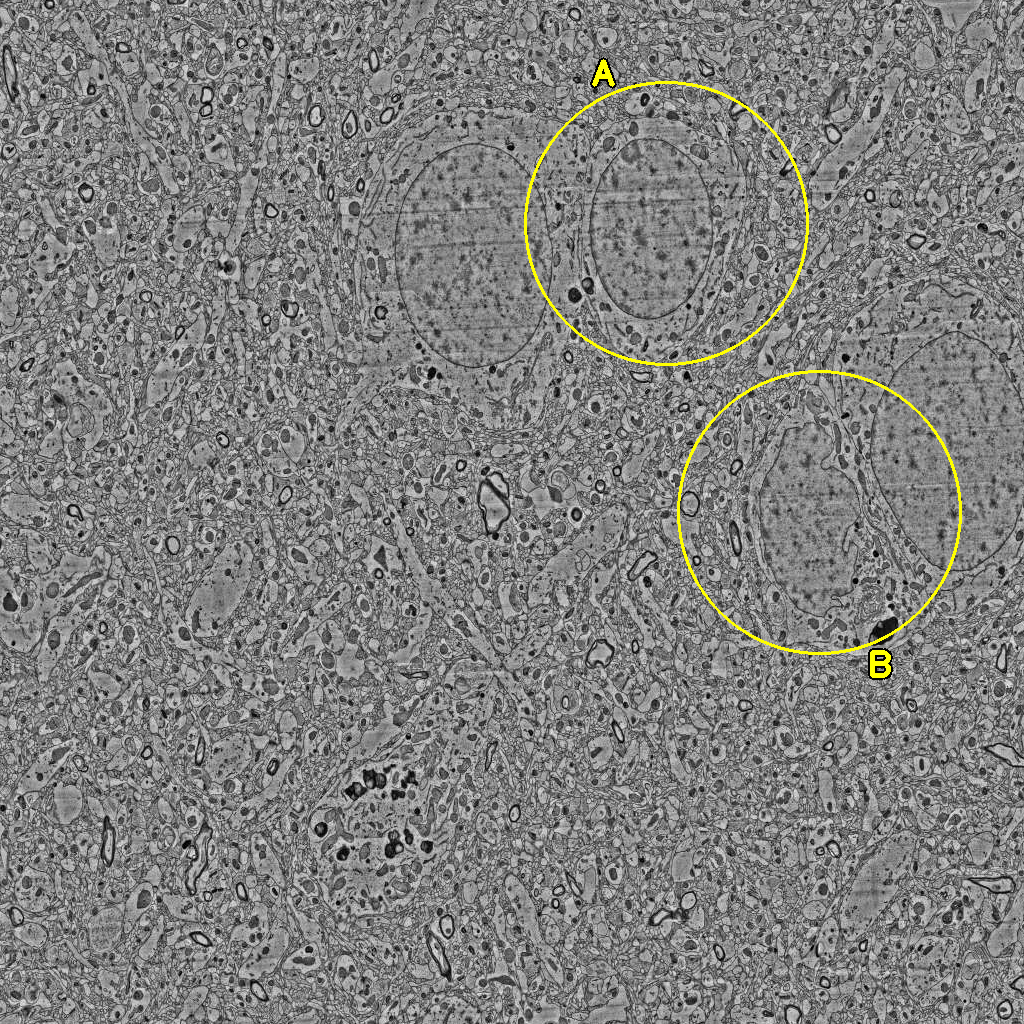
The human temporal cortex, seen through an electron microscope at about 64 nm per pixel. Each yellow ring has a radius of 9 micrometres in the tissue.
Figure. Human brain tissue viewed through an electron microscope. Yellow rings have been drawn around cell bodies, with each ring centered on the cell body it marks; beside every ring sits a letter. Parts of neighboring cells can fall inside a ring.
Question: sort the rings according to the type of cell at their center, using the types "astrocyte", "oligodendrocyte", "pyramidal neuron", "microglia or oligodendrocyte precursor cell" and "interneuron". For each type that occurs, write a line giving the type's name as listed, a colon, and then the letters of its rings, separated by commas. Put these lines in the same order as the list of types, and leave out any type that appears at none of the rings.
pyramidal neuron: A
interneuron: B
